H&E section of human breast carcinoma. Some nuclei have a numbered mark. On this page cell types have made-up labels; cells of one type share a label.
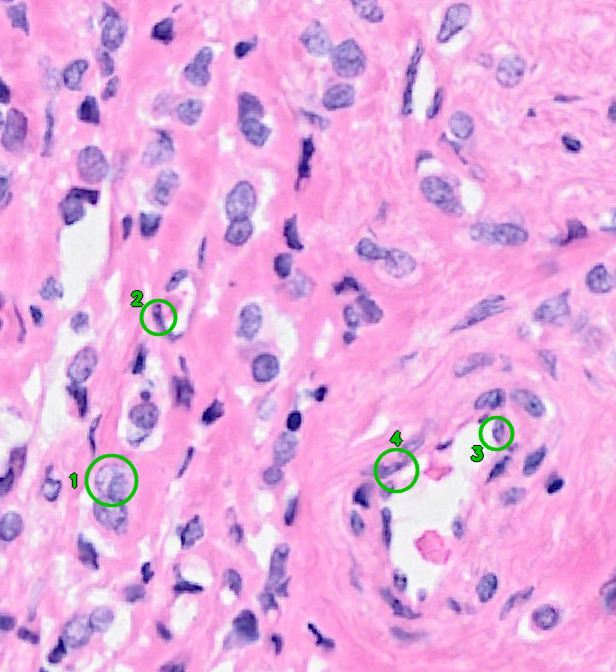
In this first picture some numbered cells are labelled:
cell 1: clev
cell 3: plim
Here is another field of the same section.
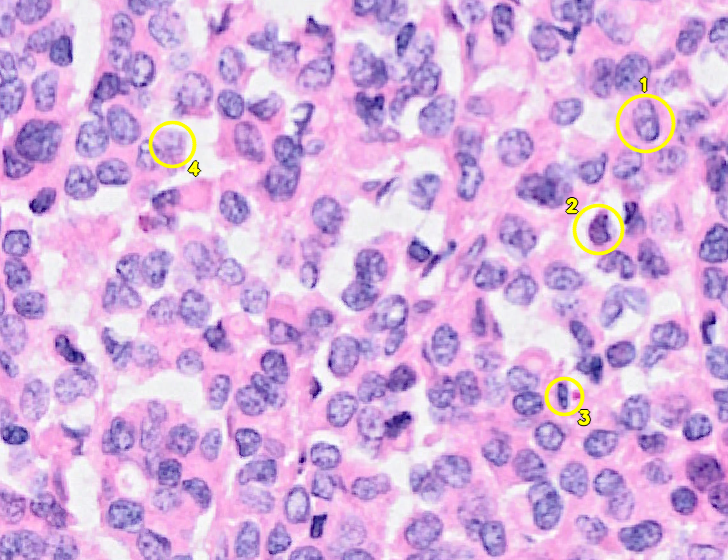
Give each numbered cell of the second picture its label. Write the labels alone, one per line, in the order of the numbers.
clev
clev
plim
clev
